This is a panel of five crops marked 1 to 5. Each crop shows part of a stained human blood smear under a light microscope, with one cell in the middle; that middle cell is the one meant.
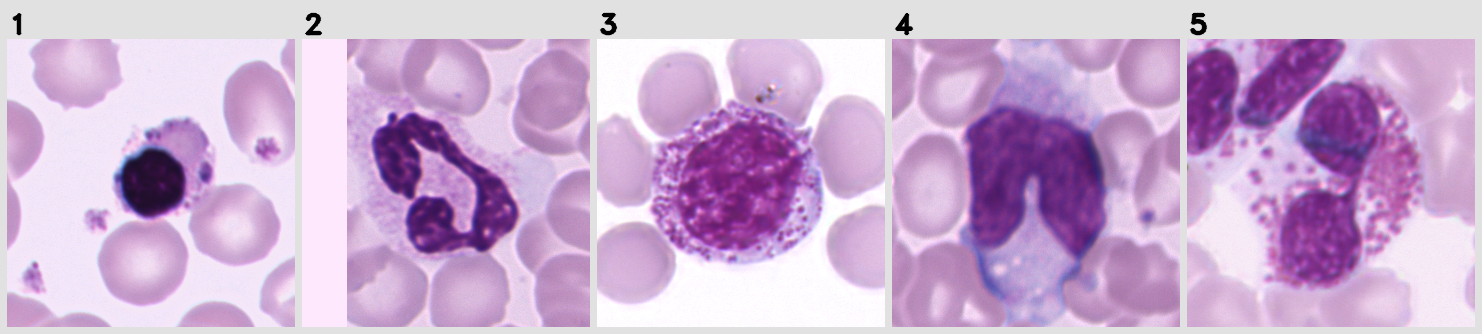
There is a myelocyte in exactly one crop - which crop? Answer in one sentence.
Crop 3, of the crops presented, is the one showing a myelocyte.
